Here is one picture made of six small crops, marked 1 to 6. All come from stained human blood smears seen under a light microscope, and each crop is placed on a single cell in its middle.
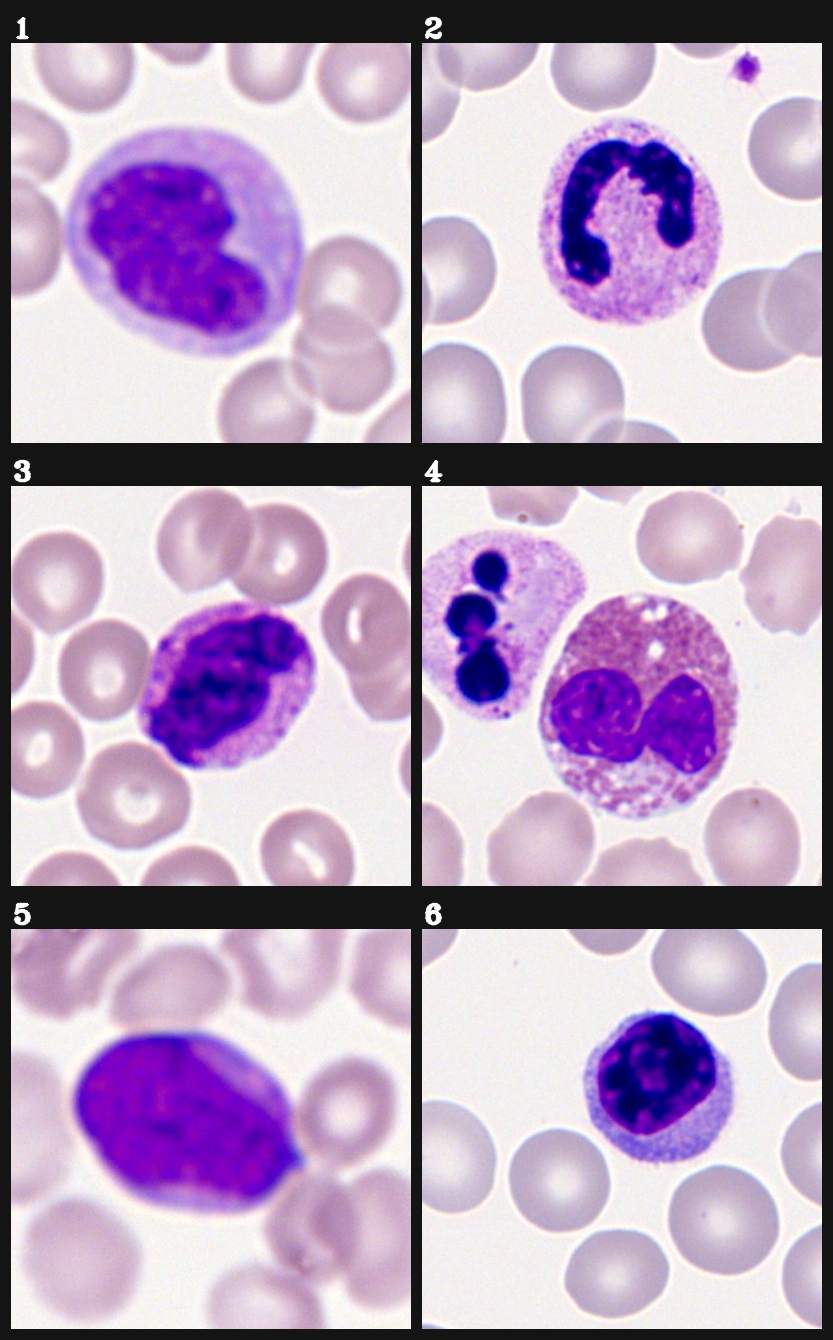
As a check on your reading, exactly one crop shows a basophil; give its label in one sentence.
The crop carrying a basophil at the center is crop 3.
